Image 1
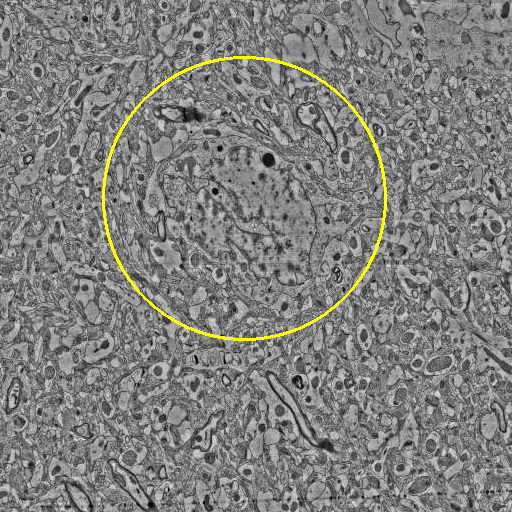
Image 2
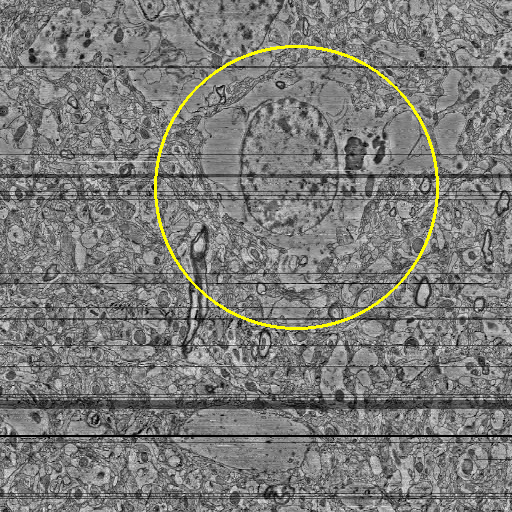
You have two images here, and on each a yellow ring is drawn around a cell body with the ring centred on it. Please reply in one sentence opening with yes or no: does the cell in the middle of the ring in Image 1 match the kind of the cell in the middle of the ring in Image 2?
No, the two images show cells of two kinds at the centres of their rings.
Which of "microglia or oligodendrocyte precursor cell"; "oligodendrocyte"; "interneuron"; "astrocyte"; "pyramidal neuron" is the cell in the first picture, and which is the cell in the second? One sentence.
The two differ: the first cell is an interneuron and the second is an astrocyte.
